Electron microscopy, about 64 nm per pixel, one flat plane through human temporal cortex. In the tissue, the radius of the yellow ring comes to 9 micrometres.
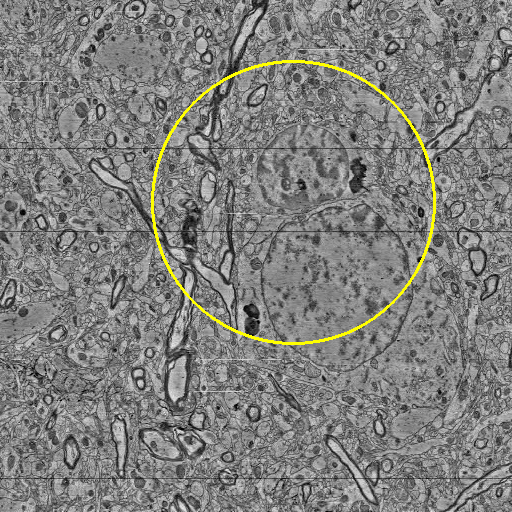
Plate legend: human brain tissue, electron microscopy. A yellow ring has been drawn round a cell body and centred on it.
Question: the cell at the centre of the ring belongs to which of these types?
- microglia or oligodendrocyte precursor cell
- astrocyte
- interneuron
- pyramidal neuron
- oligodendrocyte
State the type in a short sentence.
The cell in the middle of the ring is an oligodendrocyte.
